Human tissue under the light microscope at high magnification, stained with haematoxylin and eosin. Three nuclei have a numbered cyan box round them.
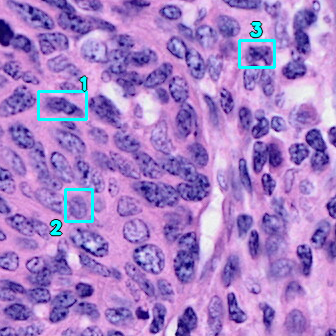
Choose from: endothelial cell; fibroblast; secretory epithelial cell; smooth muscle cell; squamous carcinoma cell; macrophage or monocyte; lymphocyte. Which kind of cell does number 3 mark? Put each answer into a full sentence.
The cell pointed out as number 3 is a lymphocyte.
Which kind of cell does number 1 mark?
The cell marked with the number 1 is a squamous carcinoma cell.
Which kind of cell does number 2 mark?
The cell identified by the number 2 is a squamous carcinoma cell.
